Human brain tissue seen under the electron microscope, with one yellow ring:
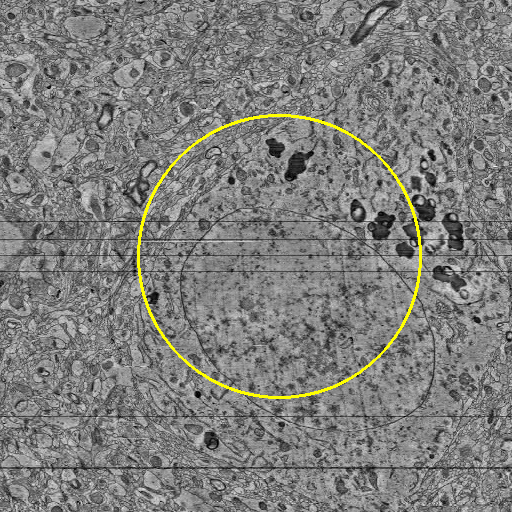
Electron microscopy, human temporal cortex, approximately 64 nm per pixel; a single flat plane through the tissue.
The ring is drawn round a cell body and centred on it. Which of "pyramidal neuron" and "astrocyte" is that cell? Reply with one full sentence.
The picture shows a pyramidal neuron at the very centre of the yellow ring.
